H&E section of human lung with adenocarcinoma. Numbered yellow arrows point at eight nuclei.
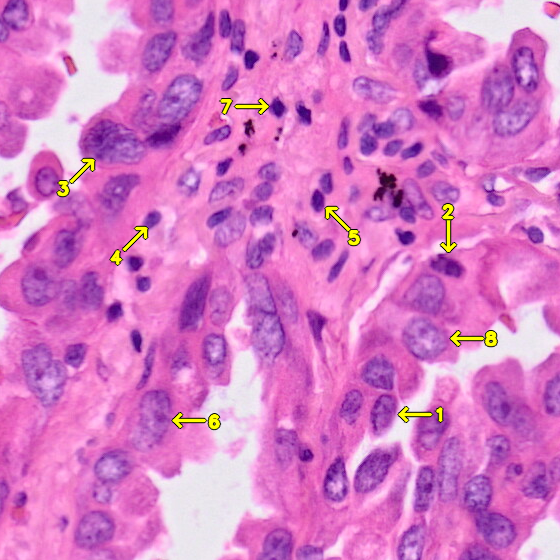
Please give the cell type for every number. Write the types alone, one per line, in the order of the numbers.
carcinoma cell
carcinoma cell
carcinoma cell
lymphocyte
lymphocyte
carcinoma cell
lymphocyte
carcinoma cell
